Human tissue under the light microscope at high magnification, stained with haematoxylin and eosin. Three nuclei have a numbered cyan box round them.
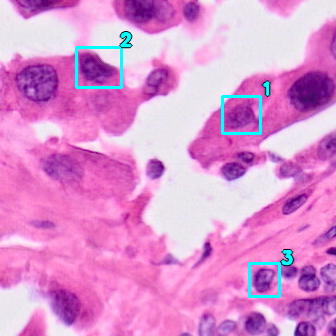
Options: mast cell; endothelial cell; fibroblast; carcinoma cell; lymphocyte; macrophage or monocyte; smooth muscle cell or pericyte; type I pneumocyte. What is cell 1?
carcinoma cell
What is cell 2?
carcinoma cell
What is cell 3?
lymphocyte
